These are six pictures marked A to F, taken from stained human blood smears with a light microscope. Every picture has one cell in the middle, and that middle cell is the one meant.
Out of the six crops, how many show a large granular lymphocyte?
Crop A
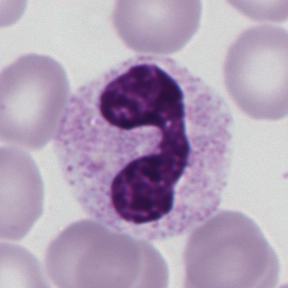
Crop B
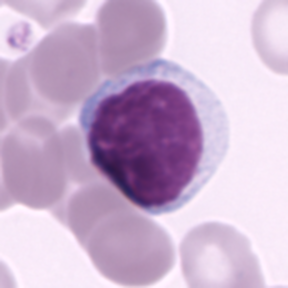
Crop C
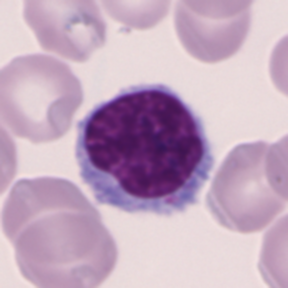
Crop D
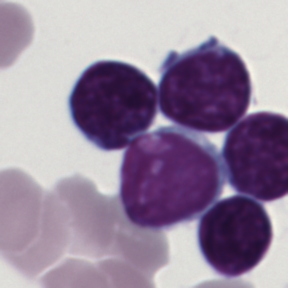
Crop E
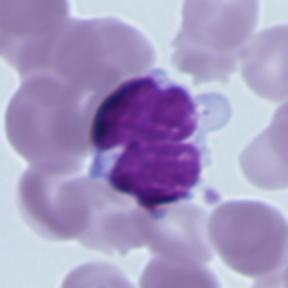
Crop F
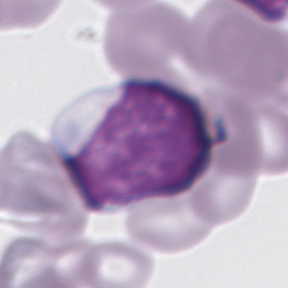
3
